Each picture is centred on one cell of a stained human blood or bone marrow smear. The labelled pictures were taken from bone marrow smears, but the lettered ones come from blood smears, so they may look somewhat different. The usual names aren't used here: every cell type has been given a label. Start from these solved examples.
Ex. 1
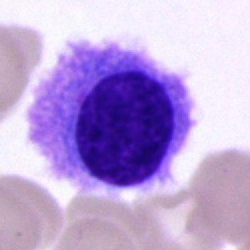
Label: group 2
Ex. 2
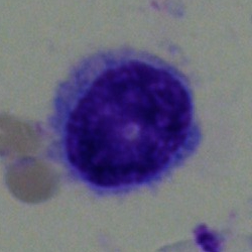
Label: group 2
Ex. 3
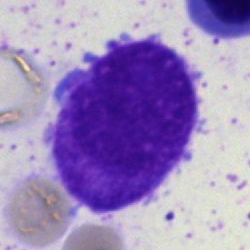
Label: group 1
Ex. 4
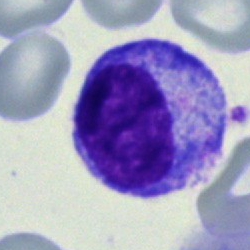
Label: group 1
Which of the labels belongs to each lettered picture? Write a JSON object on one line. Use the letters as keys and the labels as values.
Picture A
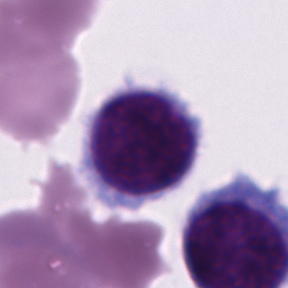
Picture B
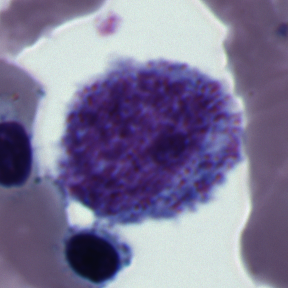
{"A": "group 2", "B": "group 1"}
